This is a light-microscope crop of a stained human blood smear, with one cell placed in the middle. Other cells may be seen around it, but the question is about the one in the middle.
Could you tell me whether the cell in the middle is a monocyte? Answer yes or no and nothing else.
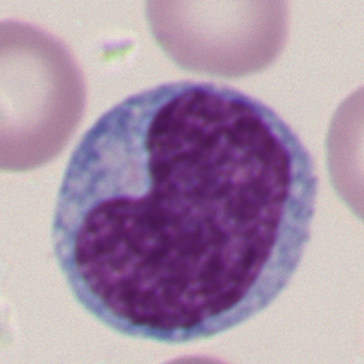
yes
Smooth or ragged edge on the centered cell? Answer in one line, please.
Nothing juts out from the margin, which is smooth throughout.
